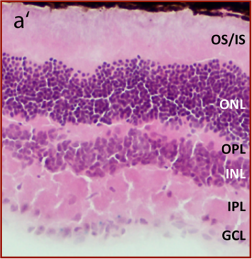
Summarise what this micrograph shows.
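Another cross section of retina, with the same orderly sequence of alternating nuclear and fibrous layers. A thick band of tightly packed small dark nuclei lies under a pale striated outer band. Beneath it, a thinner pink fibrous layer separates it from a second band of nuclei, followed by a wider pink layer and a scattered innermost row of cells.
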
